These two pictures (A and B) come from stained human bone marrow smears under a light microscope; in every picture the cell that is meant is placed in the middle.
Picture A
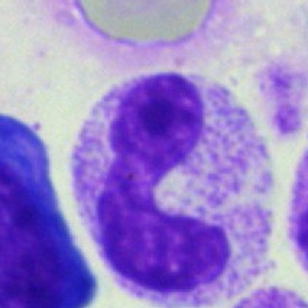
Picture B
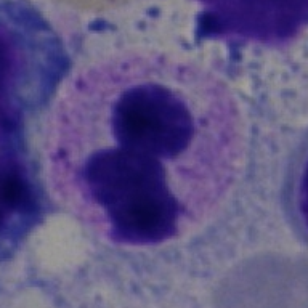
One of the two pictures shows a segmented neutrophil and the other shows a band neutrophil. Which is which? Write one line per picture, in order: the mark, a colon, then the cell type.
A: band neutrophil
B: segmented neutrophil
